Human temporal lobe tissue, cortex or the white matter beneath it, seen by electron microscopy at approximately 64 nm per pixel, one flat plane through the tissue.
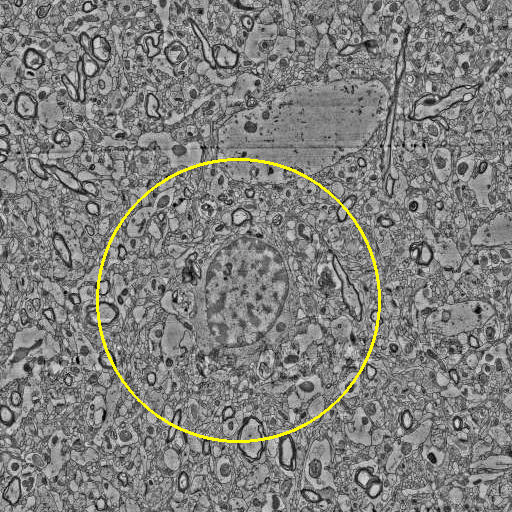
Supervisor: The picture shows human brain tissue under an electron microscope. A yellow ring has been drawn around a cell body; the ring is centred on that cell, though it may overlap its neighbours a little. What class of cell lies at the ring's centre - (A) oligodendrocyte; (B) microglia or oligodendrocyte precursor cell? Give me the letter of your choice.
A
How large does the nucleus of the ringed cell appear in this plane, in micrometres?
Roughly 7 by 5 micrometres in this plane, for the nucleus of the ringed cell.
